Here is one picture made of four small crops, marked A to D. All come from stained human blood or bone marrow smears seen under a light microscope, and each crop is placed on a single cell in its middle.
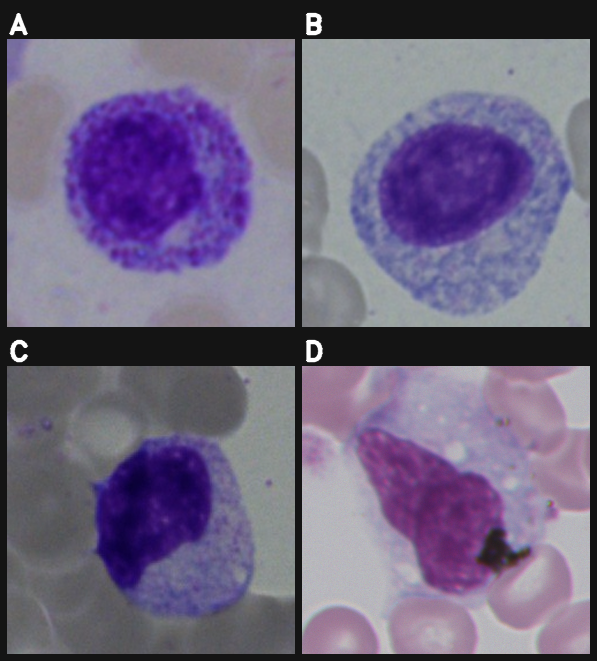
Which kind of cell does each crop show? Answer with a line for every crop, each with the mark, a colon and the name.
A: myelocyte
B: myelocyte
C: myelocyte
D: monocyte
